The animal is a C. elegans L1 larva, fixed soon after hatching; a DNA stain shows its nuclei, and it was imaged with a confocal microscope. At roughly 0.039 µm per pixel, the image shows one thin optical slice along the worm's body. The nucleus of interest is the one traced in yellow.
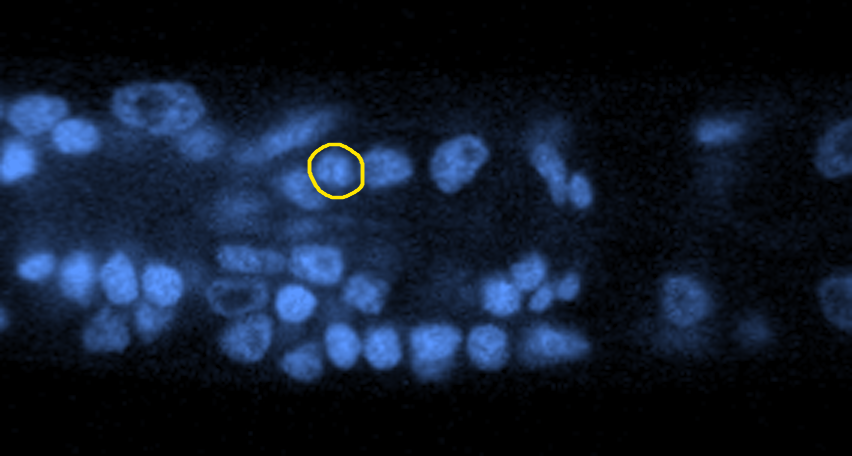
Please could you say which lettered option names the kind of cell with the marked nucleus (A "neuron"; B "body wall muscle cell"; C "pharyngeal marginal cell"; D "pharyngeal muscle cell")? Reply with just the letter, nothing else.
A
